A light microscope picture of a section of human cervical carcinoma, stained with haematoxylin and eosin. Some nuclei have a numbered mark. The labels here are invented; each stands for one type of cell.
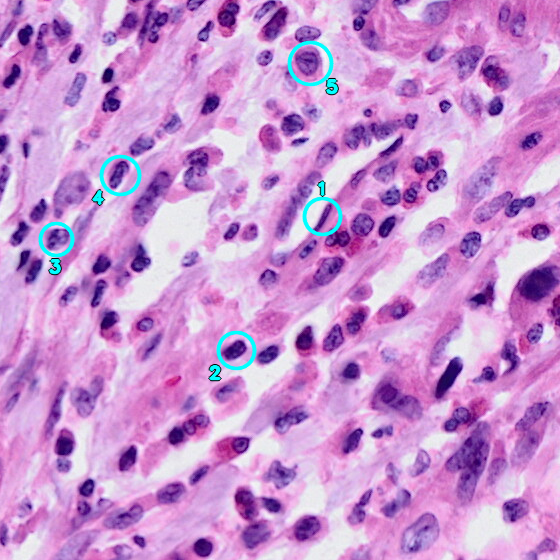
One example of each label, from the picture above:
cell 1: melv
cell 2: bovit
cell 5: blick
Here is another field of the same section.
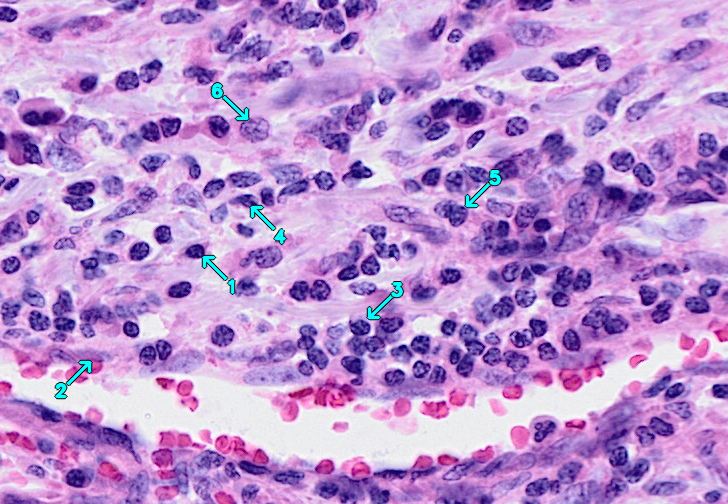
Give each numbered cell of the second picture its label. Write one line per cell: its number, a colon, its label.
1: bovit
2: melv
3: bovit
4: bovit
5: bovit
6: blick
